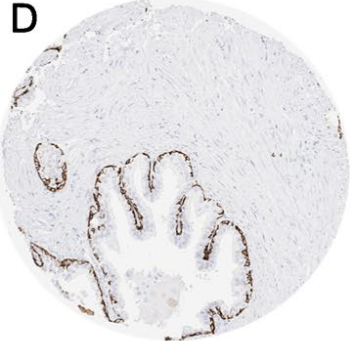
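This is prostate tissue with glands set in a dense fibromuscular stroma of pale spindle cells. The glands have folded, papillary outlines around open lumina. The stroma remains unstained.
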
